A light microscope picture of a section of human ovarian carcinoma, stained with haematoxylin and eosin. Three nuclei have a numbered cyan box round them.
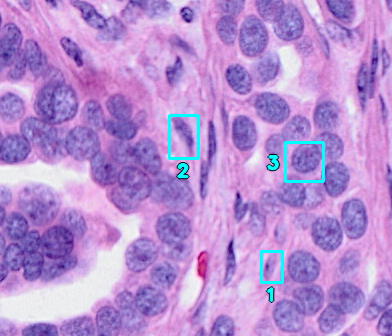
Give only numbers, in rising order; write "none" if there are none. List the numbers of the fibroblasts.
1, 2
